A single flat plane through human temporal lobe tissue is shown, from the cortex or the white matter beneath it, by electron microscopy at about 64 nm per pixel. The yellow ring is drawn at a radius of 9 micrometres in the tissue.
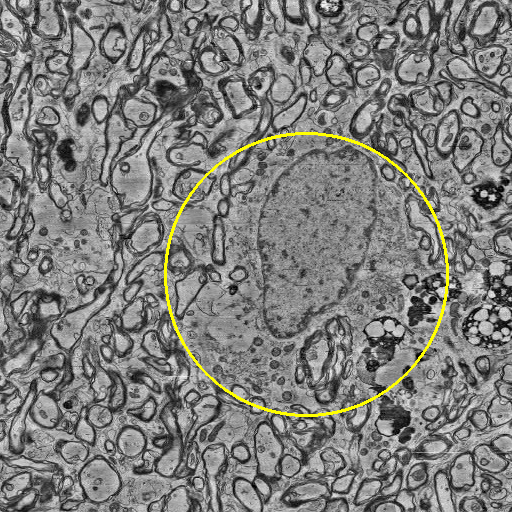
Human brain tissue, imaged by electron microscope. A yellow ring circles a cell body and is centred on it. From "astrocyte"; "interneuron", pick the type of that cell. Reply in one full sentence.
The cell body at the centre of the yellow ring belongs to an astrocyte.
